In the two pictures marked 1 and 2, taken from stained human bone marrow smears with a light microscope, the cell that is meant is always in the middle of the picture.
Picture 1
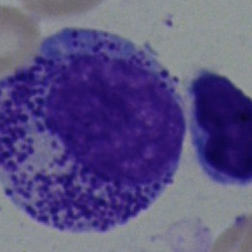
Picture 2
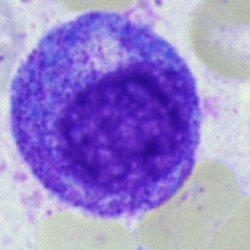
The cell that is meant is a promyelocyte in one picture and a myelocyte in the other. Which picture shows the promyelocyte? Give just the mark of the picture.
2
